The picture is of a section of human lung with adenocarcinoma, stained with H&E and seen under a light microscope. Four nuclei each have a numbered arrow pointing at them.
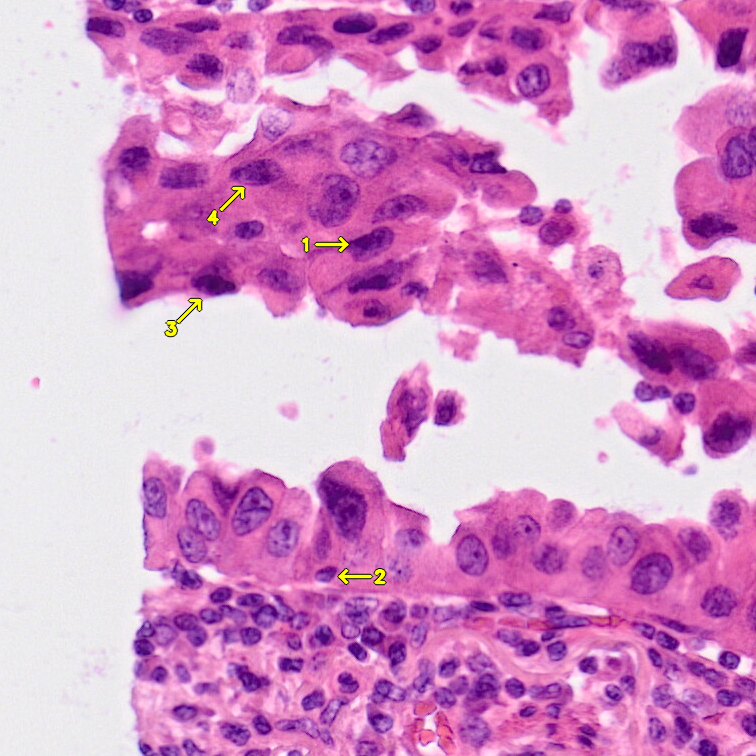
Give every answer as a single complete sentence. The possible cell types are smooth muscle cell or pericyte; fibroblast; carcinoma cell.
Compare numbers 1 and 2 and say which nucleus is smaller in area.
Number 2 is smaller, since number 1 takes up about 4 times as much area.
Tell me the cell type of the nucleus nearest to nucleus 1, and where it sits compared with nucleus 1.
The closest nucleus belongs to a carcinoma cell and sits below nucleus 1.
